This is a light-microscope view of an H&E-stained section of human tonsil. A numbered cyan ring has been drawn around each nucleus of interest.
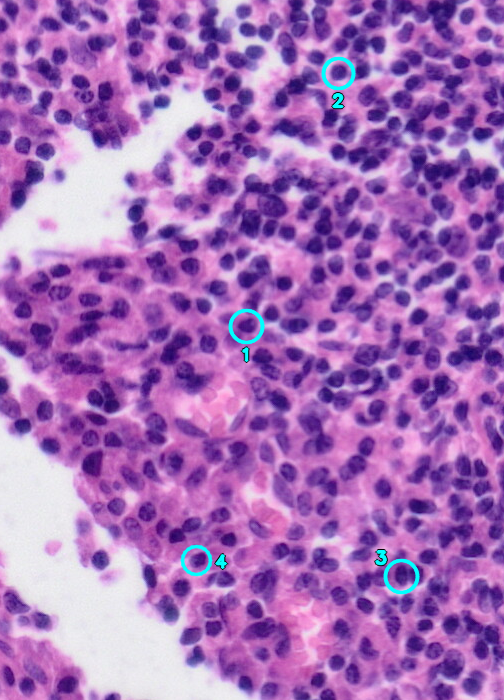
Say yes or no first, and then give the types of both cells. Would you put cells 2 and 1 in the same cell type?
No; cell 2 is a small lymphocyte, and cell 1 is a plasma cell.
